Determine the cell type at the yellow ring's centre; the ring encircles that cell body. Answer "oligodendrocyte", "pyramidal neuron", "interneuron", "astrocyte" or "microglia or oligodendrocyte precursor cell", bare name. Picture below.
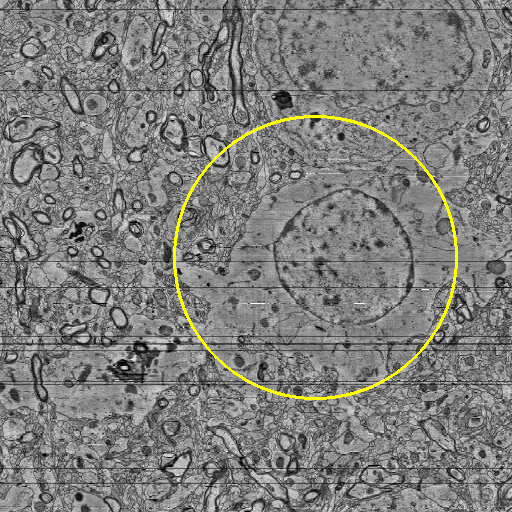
astrocyte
